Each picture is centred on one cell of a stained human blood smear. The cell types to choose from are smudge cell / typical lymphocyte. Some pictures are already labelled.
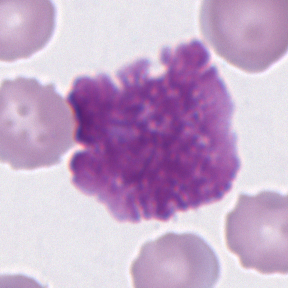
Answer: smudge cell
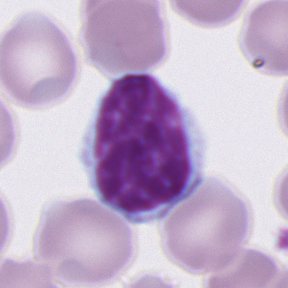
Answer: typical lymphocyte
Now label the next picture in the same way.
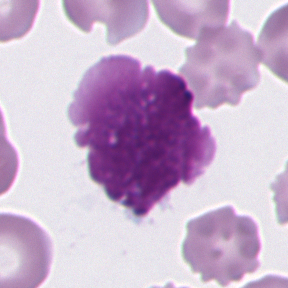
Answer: smudge cell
